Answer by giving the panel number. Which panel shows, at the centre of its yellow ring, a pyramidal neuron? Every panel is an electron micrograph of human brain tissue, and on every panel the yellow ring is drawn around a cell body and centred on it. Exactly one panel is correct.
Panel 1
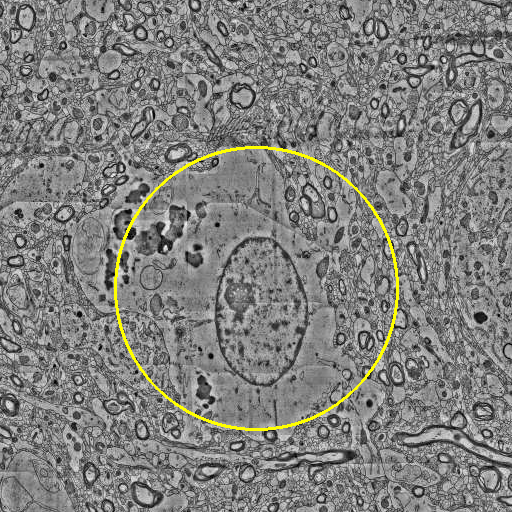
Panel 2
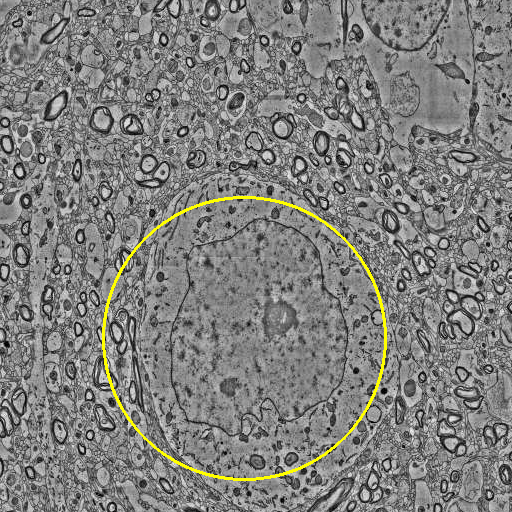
2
